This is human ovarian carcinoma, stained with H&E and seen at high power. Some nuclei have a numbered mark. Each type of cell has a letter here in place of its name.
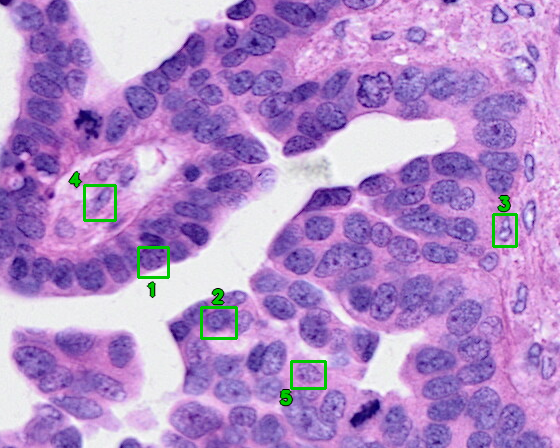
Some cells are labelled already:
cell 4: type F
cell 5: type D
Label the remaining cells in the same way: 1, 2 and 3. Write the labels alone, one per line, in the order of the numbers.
type D
type D
type F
